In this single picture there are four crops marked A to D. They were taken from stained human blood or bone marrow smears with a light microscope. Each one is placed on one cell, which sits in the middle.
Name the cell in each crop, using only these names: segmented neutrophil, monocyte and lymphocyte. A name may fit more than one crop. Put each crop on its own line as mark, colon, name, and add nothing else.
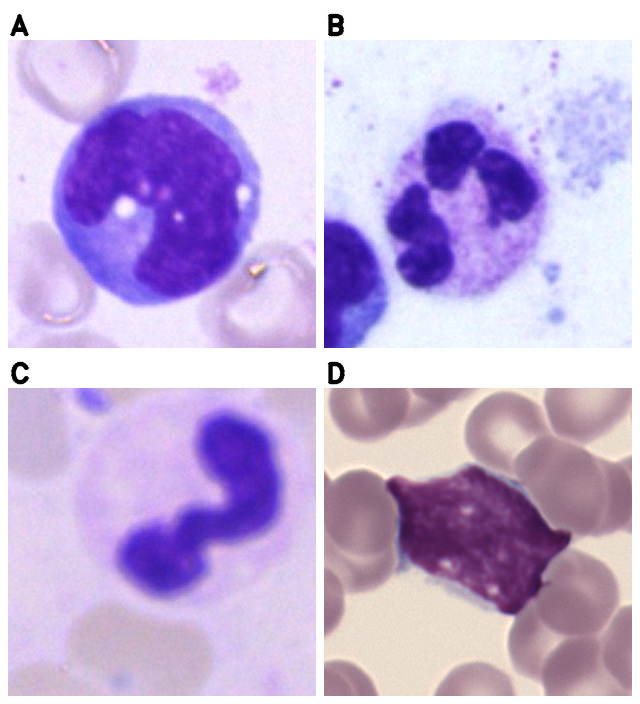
A: monocyte
B: segmented neutrophil
C: segmented neutrophil
D: lymphocyte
